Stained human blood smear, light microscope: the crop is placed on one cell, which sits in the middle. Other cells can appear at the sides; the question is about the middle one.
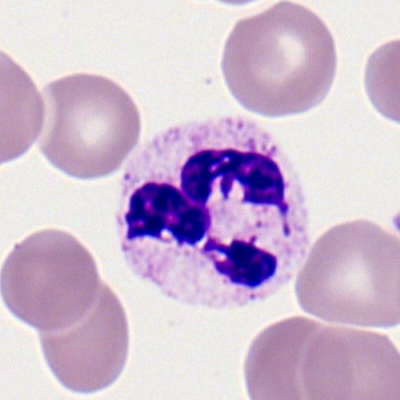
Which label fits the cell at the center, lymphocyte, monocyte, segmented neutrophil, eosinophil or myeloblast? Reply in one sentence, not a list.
To answer, the cell in the center of the crop is a segmented neutrophil.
